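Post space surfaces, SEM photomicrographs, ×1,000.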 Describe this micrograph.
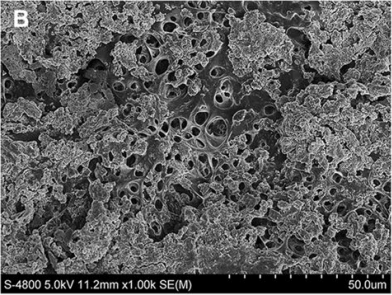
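Irregular clumps and sheets of amorphous debris lie over much of the field. Between them, areas of dentin show round open tubule orifices, several with a distinct rim around the lumen. The orifices vary in size and are unevenly distributed.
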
